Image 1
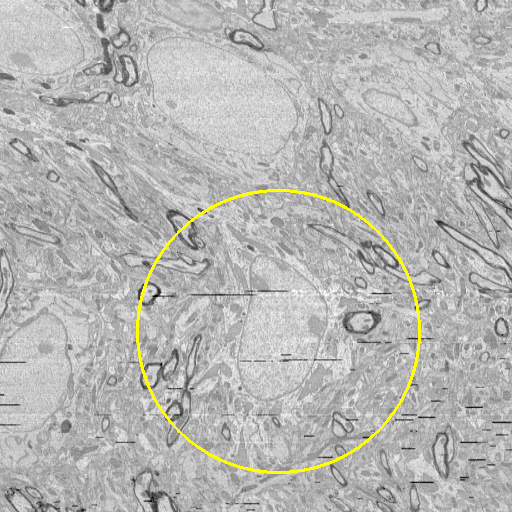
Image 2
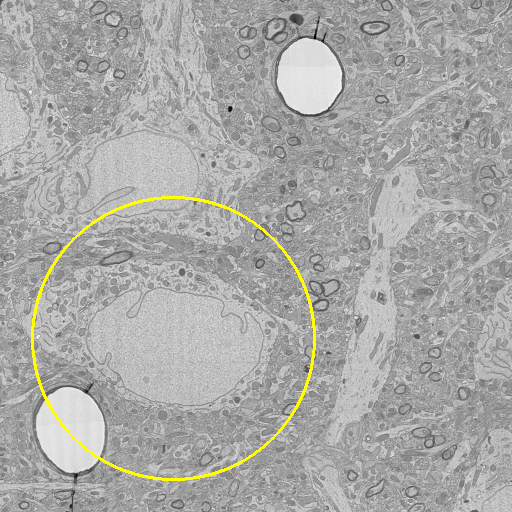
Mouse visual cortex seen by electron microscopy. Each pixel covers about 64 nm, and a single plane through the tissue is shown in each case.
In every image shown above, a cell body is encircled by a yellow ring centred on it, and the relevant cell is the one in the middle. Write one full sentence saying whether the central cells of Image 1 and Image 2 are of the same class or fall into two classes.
The cell at the ring's centre in Image 1 and its counterpart in Image 2 fall into two classes.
